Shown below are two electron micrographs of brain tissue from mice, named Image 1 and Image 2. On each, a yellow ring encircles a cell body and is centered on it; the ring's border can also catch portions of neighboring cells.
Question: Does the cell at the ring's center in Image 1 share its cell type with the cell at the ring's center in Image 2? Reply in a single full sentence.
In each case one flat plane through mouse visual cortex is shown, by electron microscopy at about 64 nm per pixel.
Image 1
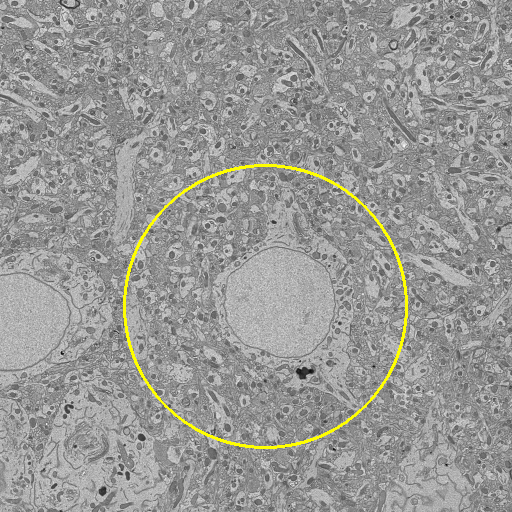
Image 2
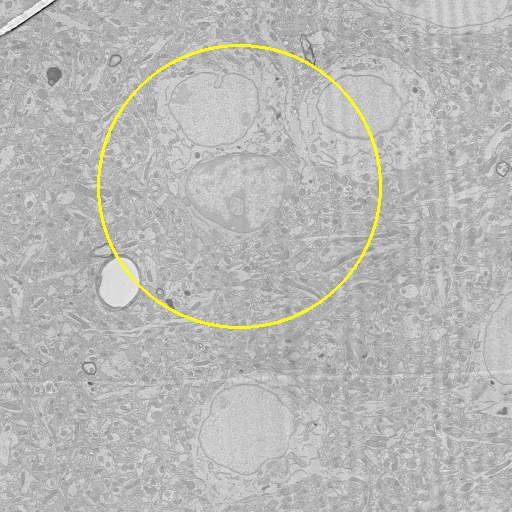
No, the two cells at the ring centers, in Image 1 and Image 2, are of two cell types.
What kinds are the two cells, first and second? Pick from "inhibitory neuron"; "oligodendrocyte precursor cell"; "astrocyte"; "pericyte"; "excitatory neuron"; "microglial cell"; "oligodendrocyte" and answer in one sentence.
The second picture holds an oligodendrocyte in its ring, and the first holds an excitatory neuron.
